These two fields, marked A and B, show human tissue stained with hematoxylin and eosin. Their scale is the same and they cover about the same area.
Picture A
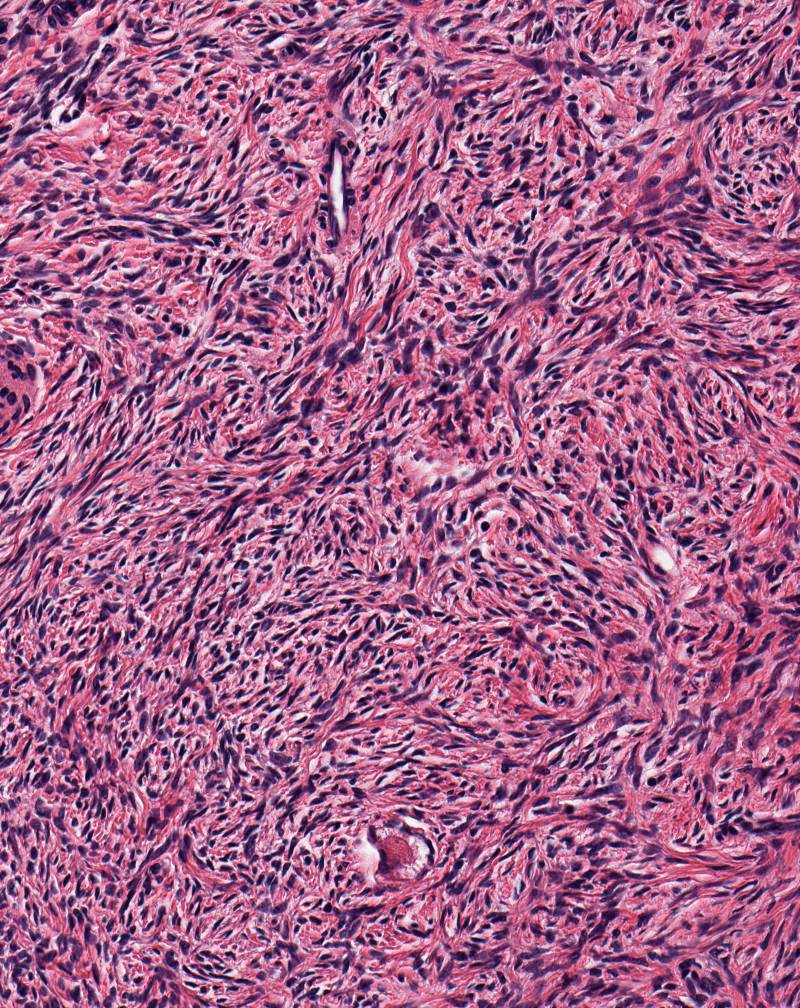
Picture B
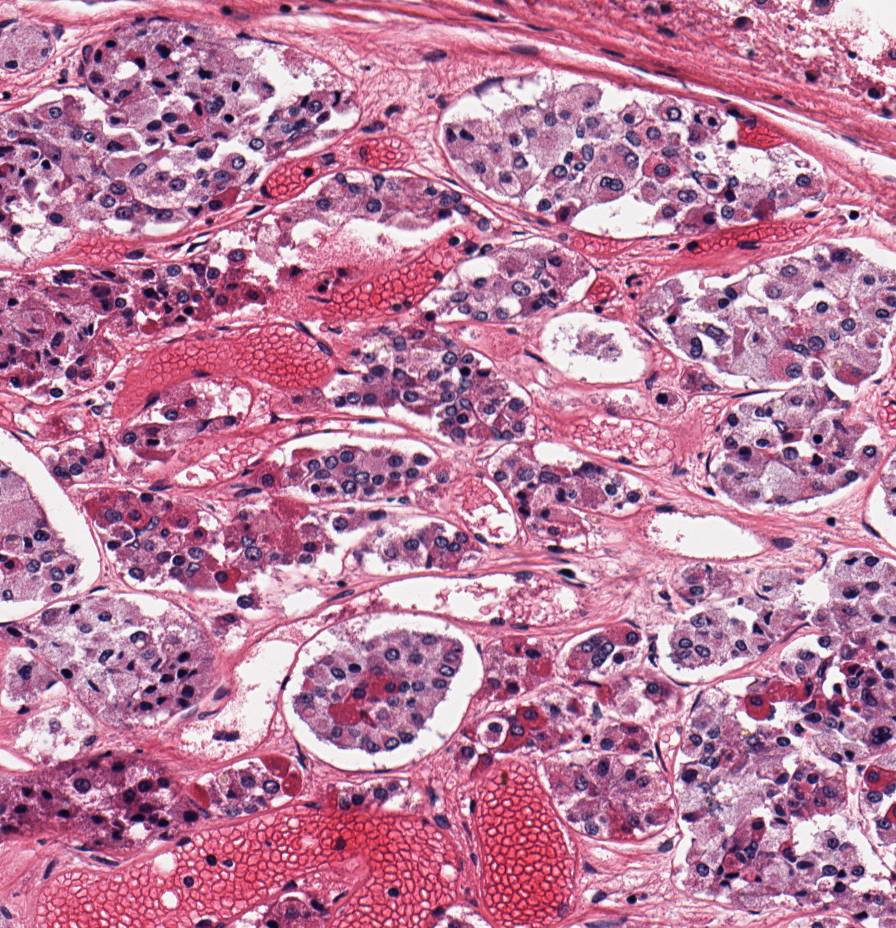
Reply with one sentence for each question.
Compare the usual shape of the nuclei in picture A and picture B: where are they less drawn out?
Rounder nuclei lie in picture B.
